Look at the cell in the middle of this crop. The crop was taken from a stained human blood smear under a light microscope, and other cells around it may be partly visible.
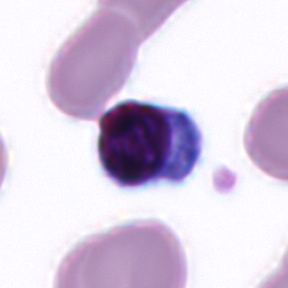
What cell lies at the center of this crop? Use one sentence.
The cell featured at the centre of this crop is a plasma cell.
